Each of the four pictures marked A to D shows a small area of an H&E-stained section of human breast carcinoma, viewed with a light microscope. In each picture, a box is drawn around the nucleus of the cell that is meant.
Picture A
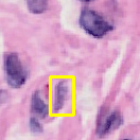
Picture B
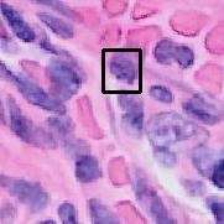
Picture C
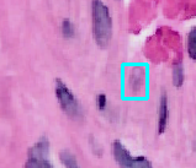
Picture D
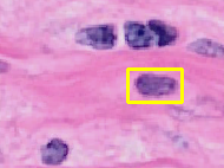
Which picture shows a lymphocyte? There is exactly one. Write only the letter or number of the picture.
D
